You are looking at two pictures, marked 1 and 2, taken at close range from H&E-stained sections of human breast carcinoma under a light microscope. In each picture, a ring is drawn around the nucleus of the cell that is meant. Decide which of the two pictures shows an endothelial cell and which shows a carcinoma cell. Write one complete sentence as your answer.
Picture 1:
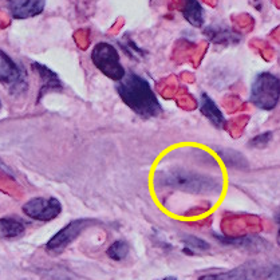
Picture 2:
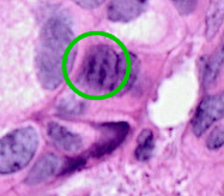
It is picture 1 that shows an endothelial cell, and picture 2 that shows a carcinoma cell.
